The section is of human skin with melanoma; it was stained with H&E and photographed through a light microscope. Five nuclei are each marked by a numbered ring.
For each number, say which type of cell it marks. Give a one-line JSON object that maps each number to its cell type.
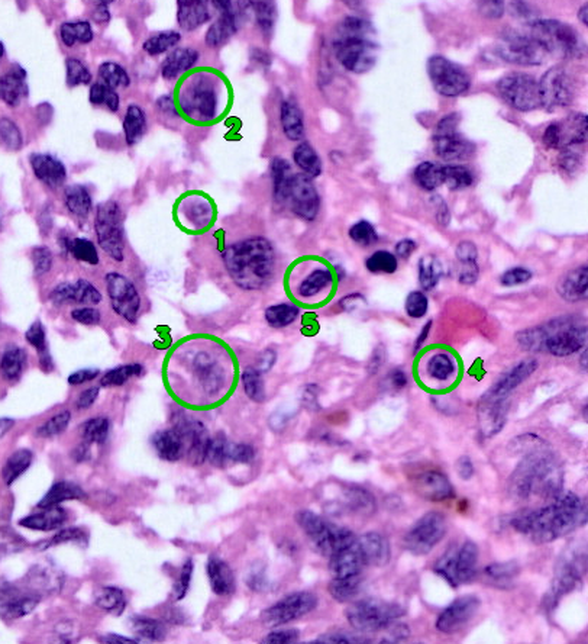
{"1": "melanoma cell", "2": "melanoma cell", "3": "melanoma cell", "4": "lymphocyte", "5": "lymphocyte"}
